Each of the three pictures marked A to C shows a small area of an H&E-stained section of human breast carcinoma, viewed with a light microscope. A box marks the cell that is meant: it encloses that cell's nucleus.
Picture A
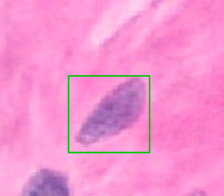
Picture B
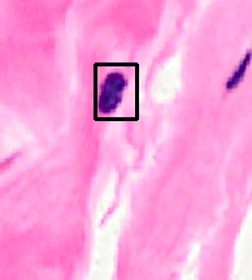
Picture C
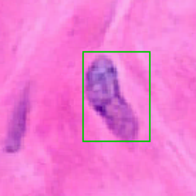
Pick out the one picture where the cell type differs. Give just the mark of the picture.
B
